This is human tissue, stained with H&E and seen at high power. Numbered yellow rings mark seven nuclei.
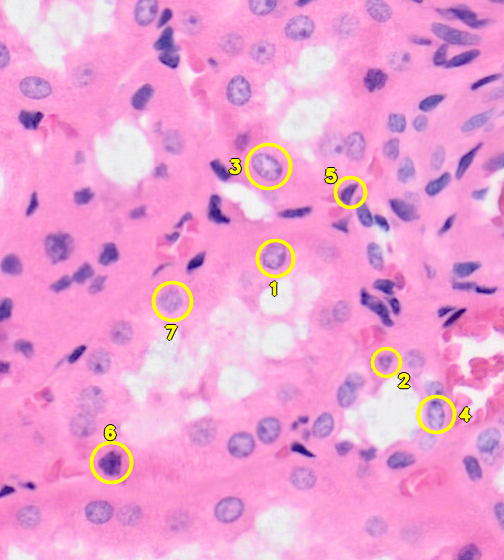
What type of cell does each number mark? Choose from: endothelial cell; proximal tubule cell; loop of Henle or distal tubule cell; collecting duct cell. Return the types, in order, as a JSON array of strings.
["proximal tubule cell", "collecting duct cell", "proximal tubule cell", "collecting duct cell", "endothelial cell", "proximal tubule cell", "proximal tubule cell"]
